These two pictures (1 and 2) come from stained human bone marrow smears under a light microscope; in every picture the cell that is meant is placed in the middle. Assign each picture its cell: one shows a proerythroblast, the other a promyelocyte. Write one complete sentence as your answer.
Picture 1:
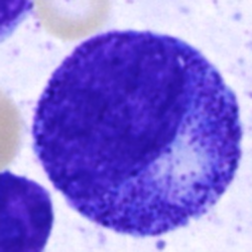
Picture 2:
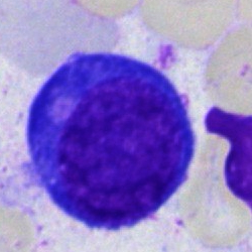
In picture 1 the cell is a promyelocyte; in picture 2, a proerythroblast.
